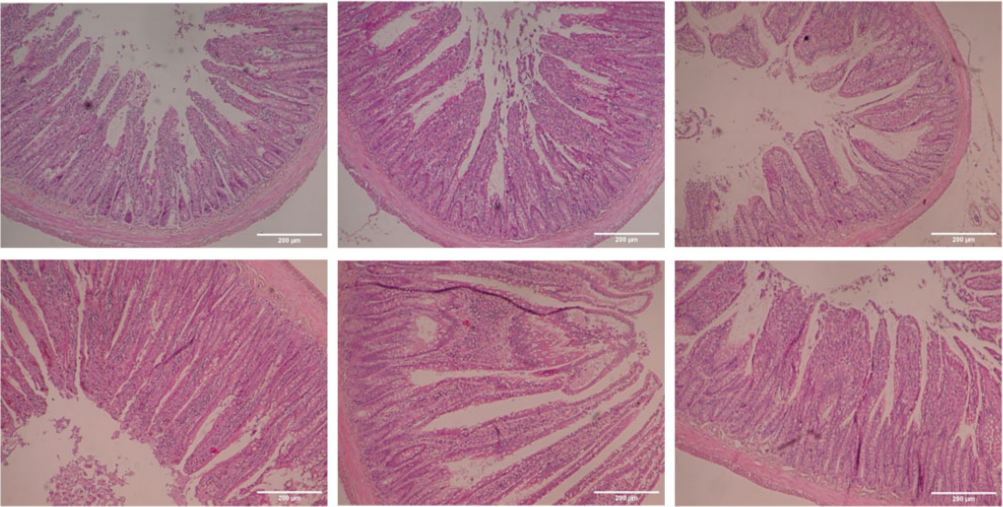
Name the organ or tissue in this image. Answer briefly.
Intestine.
